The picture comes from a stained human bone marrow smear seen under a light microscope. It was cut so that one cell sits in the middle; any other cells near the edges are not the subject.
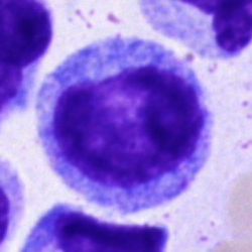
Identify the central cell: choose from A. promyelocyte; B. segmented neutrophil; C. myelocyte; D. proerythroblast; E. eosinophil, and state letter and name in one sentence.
Option A is accurate; the centrally placed cell is a promyelocyte.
